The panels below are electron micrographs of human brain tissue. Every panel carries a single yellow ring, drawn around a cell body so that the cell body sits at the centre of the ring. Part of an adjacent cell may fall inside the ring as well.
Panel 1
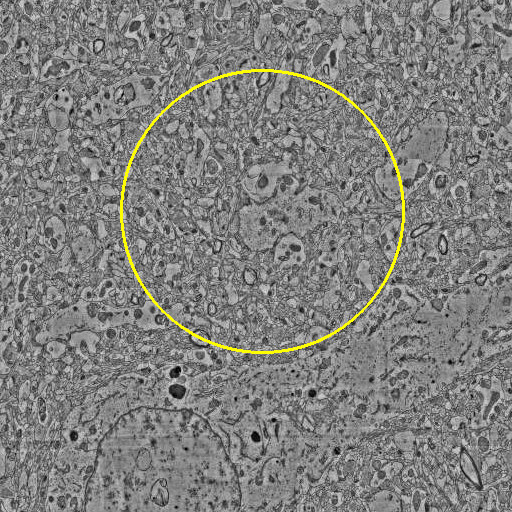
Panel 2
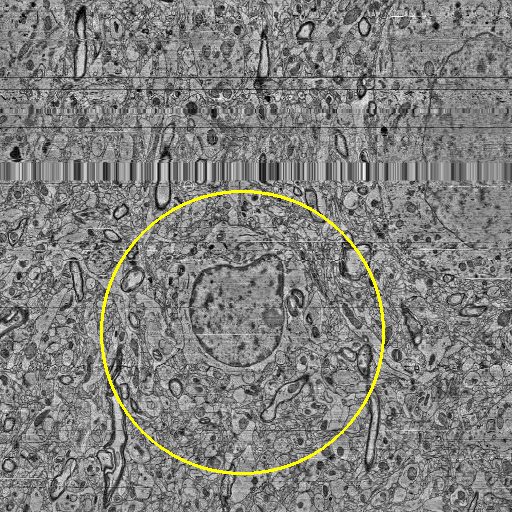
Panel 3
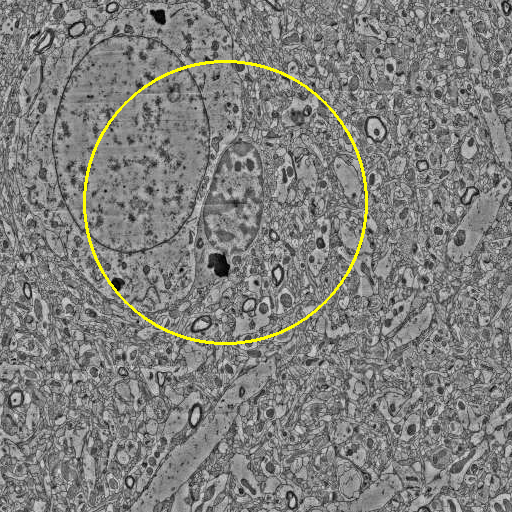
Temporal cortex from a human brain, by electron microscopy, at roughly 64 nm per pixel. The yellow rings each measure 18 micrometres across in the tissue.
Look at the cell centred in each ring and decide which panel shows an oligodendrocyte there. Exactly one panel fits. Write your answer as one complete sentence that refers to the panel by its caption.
Panel 3 has it at the centre of its ring.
